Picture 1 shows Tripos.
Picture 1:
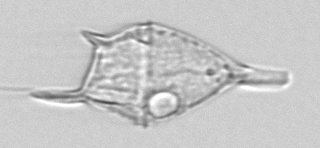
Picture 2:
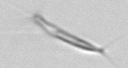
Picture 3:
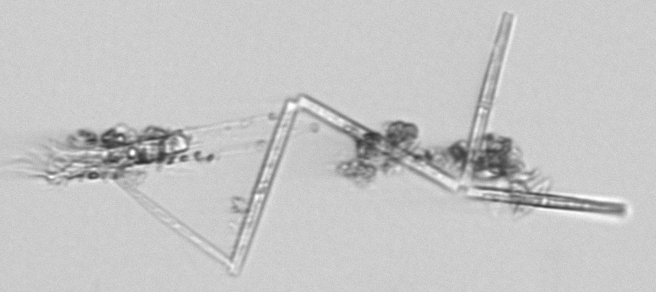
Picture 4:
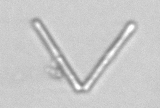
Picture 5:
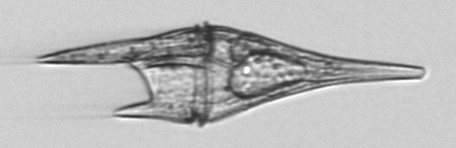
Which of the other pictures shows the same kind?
Picture 5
